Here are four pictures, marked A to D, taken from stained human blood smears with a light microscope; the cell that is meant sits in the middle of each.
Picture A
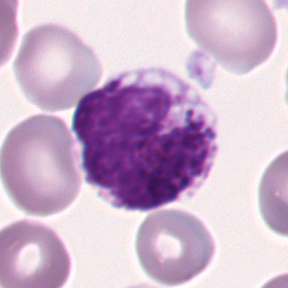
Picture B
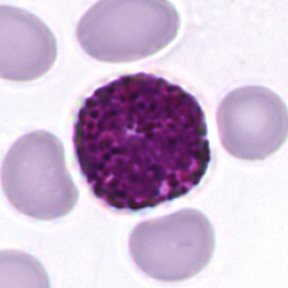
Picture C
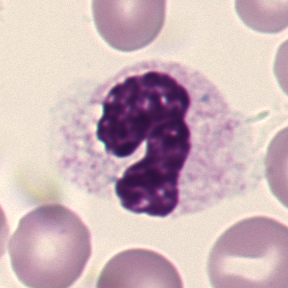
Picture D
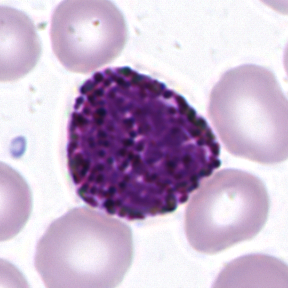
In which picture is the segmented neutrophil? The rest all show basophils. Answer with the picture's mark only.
C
